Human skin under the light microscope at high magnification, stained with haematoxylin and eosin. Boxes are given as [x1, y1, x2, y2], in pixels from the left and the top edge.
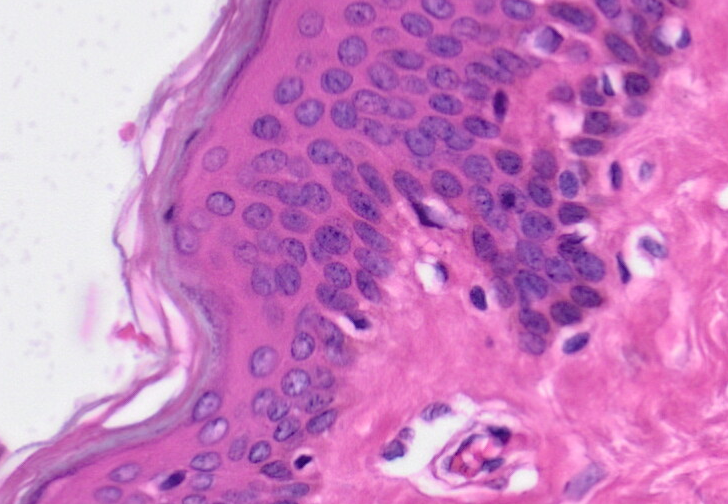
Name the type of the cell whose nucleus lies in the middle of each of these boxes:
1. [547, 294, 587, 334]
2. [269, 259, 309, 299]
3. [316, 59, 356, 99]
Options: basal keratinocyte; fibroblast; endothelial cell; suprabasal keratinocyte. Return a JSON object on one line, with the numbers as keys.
{"1": "basal keratinocyte", "2": "suprabasal keratinocyte", "3": "suprabasal keratinocyte"}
